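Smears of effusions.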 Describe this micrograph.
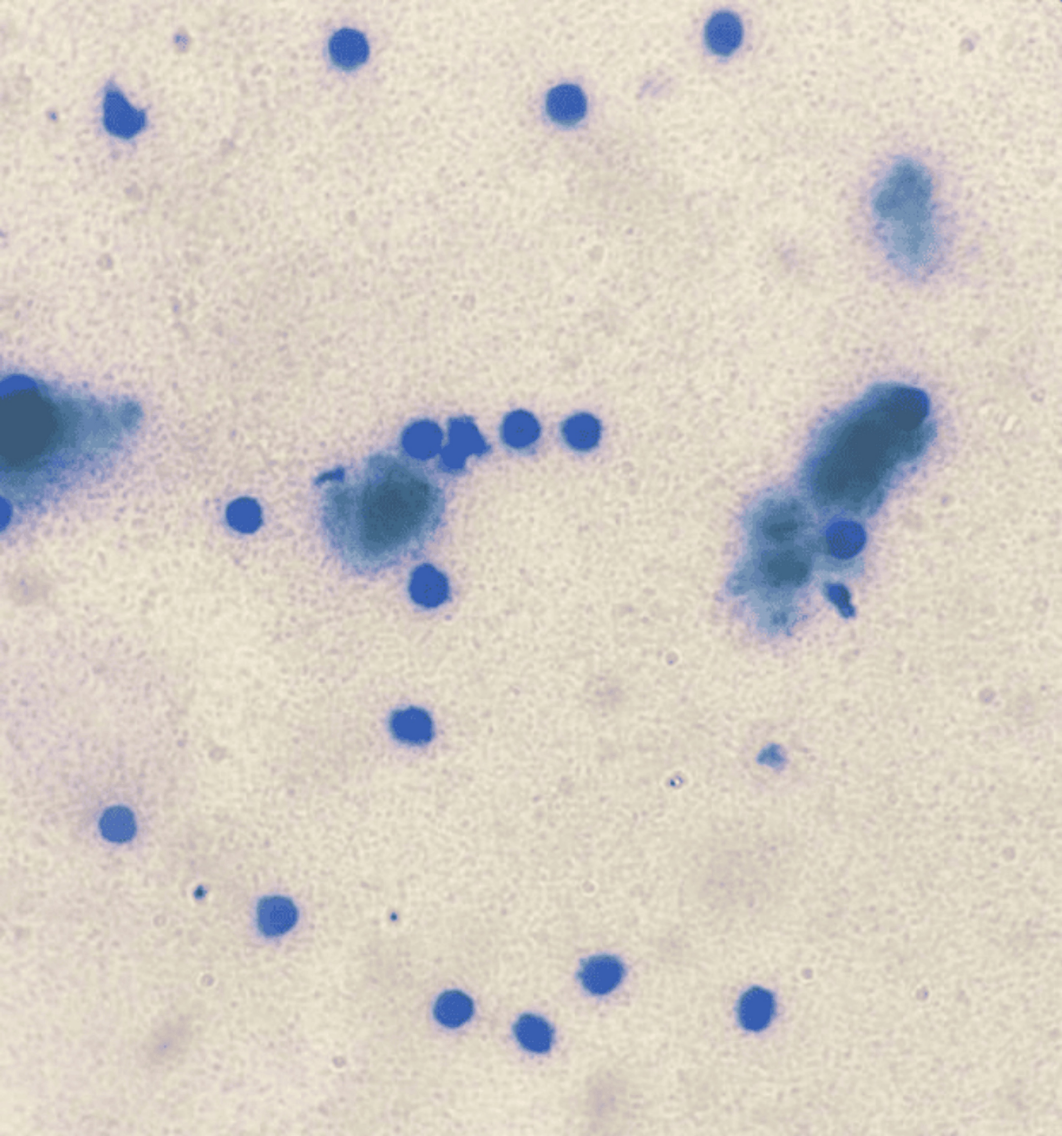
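Most lie singly and are spread widely across the field. A few sit close to one another in a short row. There are also a few larger, paler, smudgy blue-green clusters with indistinct borders. Between the cells the background is not clear. It is finely granular and stippled with a pale pink-beige tint, the look of a protein-rich fluid.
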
